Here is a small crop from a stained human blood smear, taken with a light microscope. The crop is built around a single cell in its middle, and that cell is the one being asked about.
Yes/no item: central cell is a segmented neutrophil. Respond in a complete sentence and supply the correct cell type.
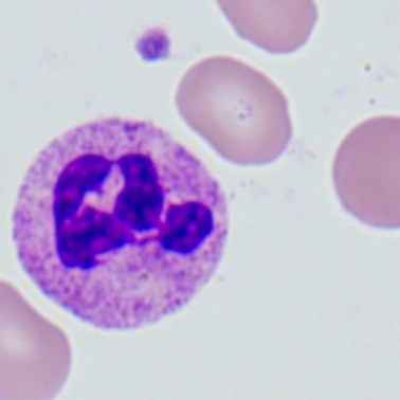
Yes, the cell in the middle is a segmented neutrophil.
